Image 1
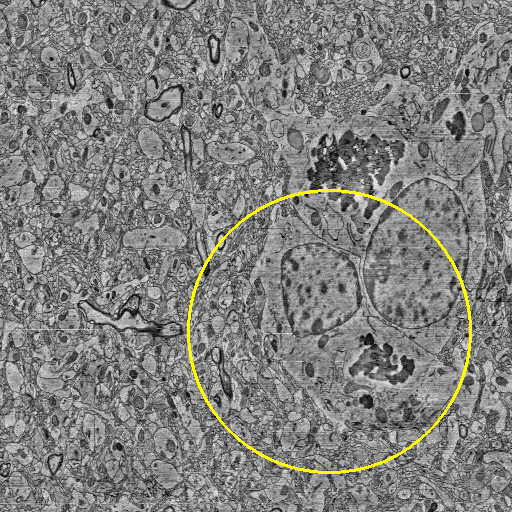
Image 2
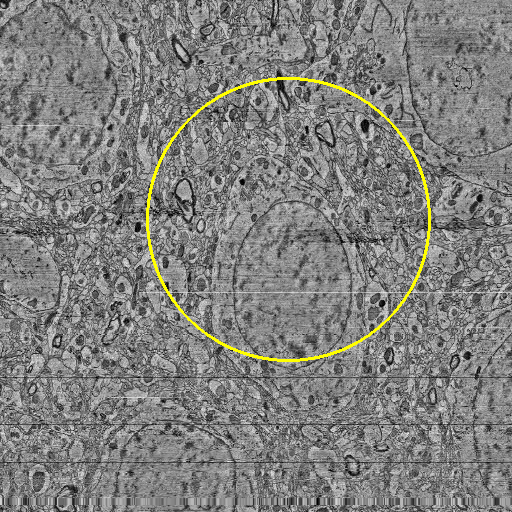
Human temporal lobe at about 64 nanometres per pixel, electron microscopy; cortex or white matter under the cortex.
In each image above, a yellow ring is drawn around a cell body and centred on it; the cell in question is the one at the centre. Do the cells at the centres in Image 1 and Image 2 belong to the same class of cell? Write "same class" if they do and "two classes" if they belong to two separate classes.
two classes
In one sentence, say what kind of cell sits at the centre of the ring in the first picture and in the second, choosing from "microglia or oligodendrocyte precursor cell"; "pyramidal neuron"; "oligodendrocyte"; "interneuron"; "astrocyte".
The first picture's ringed cell is an astrocyte, while the second picture's is a pyramidal neuron.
